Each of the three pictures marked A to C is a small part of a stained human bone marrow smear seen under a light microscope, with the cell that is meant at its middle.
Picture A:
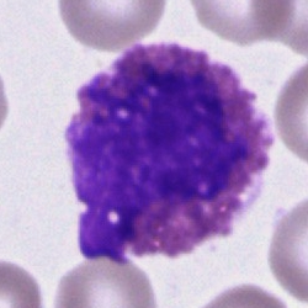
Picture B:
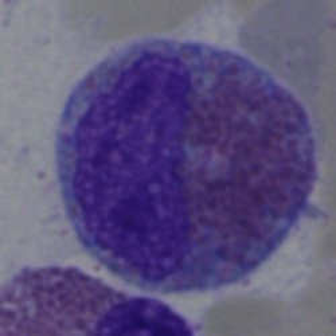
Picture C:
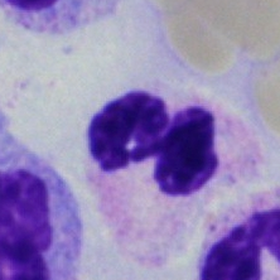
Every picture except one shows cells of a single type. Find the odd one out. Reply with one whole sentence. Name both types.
Picture C differs, because its cell is a segmented neutrophil and the rest are eosinophils.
